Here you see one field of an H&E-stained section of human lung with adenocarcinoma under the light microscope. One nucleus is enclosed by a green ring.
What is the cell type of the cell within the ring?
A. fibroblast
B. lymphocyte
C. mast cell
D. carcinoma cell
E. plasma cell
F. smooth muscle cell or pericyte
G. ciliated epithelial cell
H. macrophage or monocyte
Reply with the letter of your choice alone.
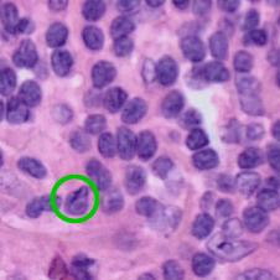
B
